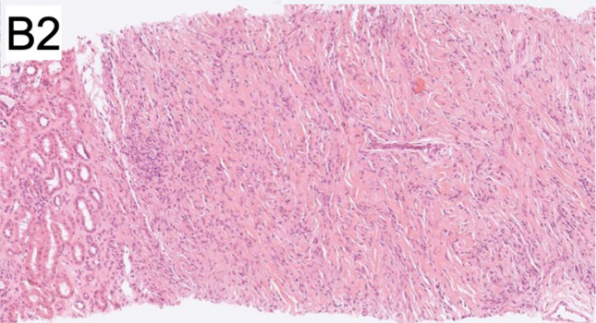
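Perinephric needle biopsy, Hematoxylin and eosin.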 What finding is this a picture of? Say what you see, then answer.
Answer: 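Most of the core is pink fibrous tissue with elongated spindle-shaped cells. Scattered small dark inflammatory cells lie within the fibrous tissue.
Sclerosing fibroinflammatory lesion.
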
